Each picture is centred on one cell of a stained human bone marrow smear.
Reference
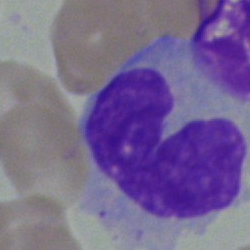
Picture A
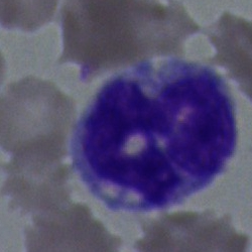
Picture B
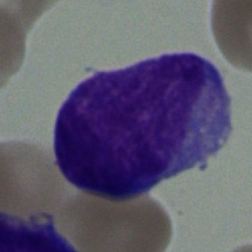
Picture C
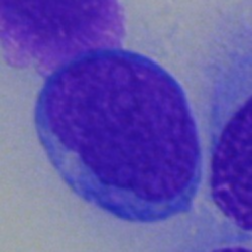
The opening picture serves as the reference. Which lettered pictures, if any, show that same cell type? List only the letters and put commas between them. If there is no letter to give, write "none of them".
A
